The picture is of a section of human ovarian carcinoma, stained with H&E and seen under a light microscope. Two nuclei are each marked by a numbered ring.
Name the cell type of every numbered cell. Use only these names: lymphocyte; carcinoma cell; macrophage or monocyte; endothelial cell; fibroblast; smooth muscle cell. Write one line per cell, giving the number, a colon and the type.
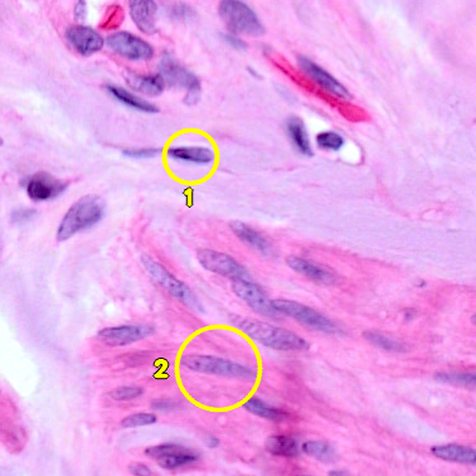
1: fibroblast
2: smooth muscle cell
